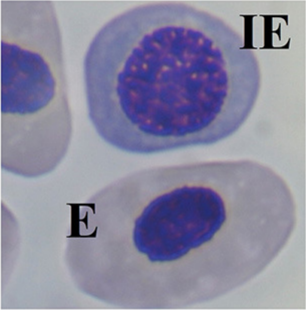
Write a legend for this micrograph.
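This blood smear shows an immature erythrocyte beside a mature erythrocyte, with the edges of further red cells around them. The immature erythrocyte is smaller and nearly round, with a large round nucleus of coarse, clumped purple chromatin and a narrow rim of bluish-grey cytoplasm. The mature erythrocyte is a large flat oval cell with pale grey cytoplasm and a compact, dark, oval nucleus near its centre.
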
